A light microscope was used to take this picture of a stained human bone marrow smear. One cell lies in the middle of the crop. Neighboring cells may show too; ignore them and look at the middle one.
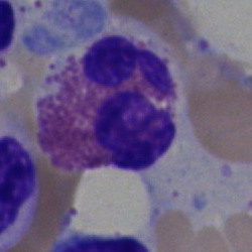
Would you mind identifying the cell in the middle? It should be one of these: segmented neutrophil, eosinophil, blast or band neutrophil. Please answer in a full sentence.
Answering briefly, the cell in the middle is an eosinophil.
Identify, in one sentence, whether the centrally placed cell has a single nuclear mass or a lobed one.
This cell has a nucleus made up of two or more segments.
